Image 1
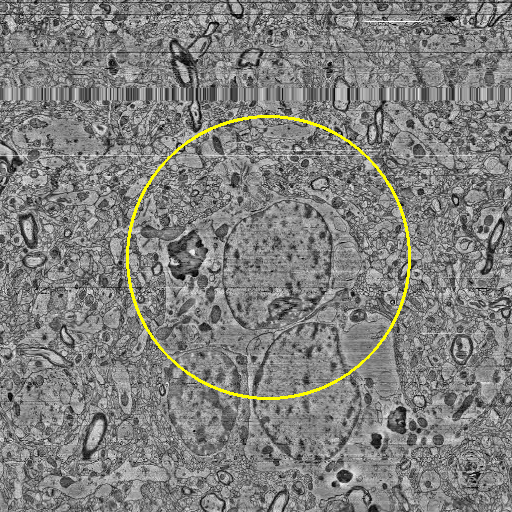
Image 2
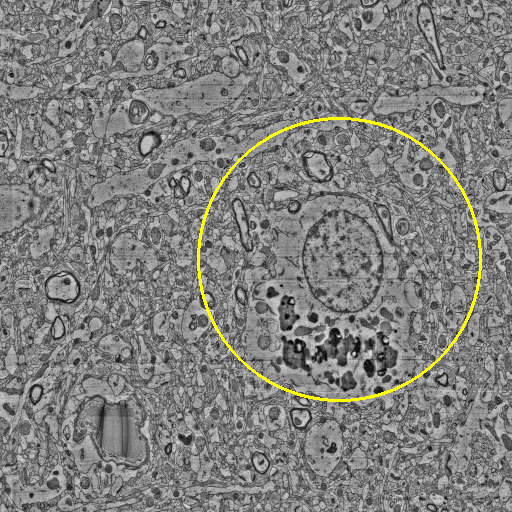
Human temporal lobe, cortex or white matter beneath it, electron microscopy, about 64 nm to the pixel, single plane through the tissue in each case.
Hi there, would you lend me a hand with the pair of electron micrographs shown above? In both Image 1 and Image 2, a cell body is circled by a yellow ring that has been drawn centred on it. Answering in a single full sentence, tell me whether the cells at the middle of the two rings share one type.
Yes, the ringed cells in Image 1 and Image 2 share one type.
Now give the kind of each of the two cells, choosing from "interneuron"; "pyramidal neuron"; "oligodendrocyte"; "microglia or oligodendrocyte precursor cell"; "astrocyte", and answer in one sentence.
In each picture the ringed cell is an astrocyte.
